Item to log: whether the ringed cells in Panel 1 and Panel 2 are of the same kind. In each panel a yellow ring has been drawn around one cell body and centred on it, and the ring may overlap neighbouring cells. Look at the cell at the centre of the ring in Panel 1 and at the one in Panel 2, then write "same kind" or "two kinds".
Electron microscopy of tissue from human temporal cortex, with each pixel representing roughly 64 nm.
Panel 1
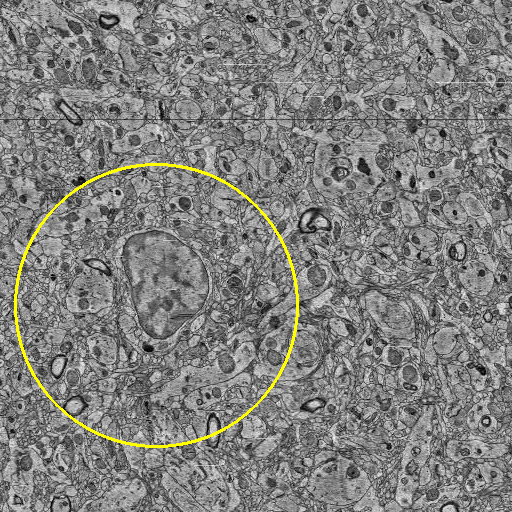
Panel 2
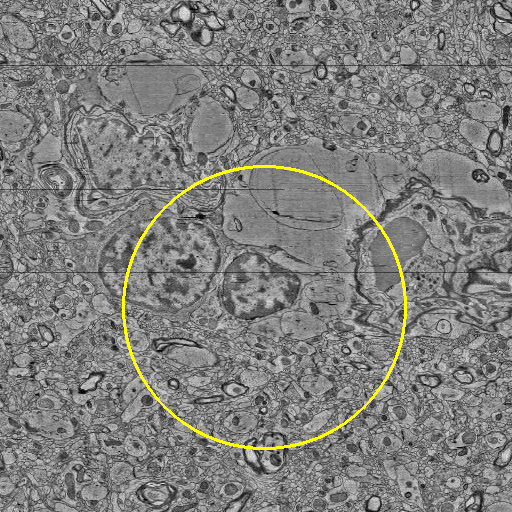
same kind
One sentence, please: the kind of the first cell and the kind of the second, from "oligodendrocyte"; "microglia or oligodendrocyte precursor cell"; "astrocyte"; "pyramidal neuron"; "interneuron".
Each one of the two ringed cells is a microglial cell or oligodendrocyte precursor cell.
